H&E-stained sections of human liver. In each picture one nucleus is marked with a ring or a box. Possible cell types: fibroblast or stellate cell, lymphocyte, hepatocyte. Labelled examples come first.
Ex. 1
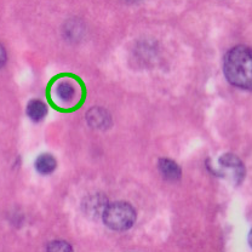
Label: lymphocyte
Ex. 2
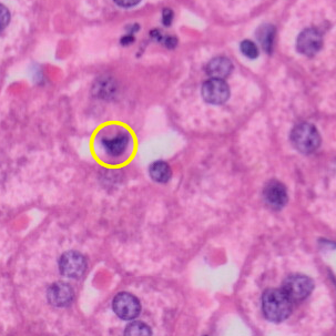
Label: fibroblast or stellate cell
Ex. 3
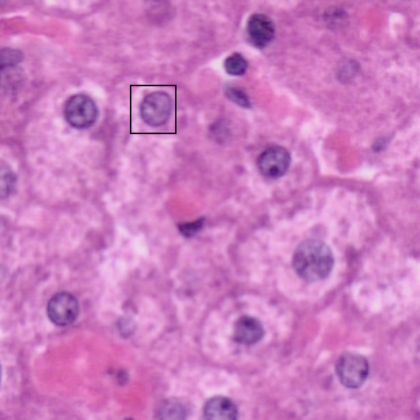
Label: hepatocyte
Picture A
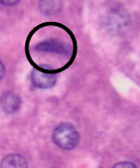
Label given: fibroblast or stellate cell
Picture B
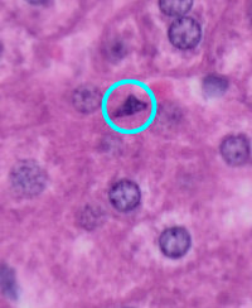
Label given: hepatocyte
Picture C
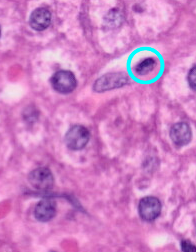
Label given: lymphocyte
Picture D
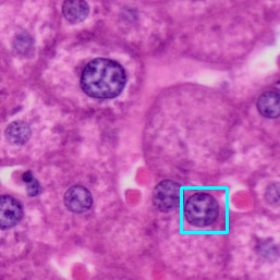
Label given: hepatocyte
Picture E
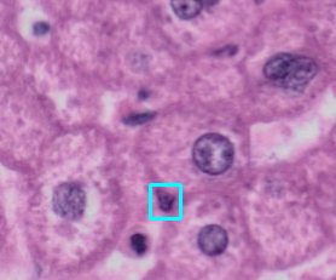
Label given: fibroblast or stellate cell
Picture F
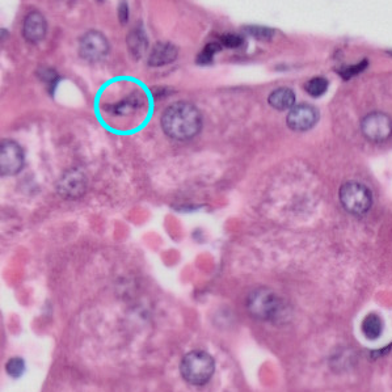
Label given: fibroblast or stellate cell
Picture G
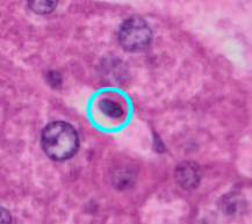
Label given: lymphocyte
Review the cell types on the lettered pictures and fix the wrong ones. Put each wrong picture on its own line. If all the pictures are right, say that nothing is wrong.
B: change hepatocyte to fibroblast or stellate cell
